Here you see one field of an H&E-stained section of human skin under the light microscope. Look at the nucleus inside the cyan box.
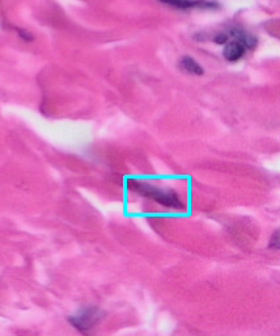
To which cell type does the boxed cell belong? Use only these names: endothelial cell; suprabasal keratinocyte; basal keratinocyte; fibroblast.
fibroblast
